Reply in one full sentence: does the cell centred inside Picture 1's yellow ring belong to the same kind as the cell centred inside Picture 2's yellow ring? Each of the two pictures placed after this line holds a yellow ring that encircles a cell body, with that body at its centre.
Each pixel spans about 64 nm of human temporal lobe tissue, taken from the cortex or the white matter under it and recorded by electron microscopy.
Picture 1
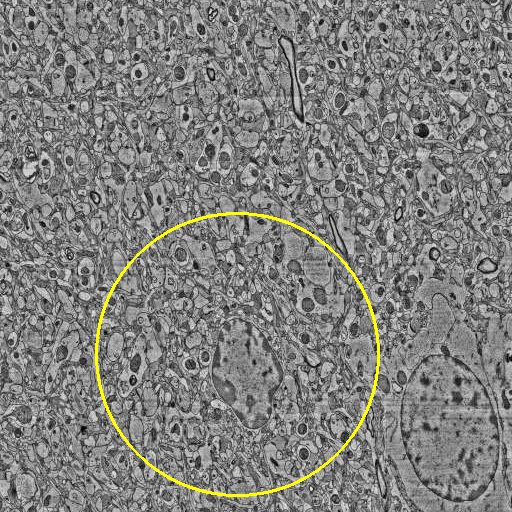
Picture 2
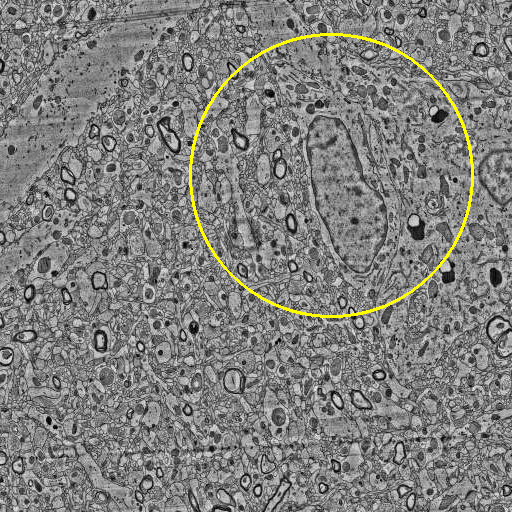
Yes, the ring-centred cells in Picture 1 and Picture 2 are of one and the same kind.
